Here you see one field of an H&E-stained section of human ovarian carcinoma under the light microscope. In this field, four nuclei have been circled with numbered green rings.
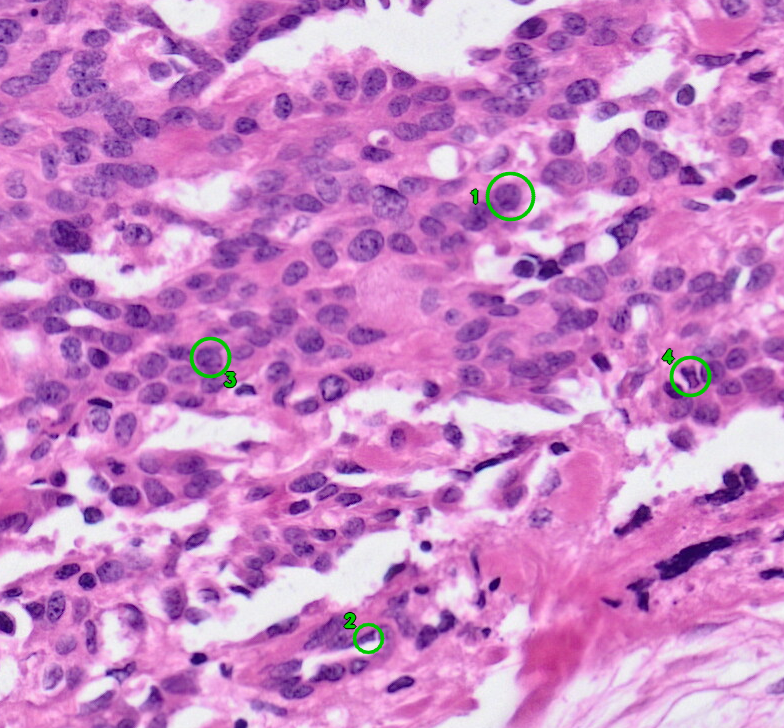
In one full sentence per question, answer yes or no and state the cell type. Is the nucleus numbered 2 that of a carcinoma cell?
No, the cell with the number 2 is an endothelial cell, not a carcinoma cell.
